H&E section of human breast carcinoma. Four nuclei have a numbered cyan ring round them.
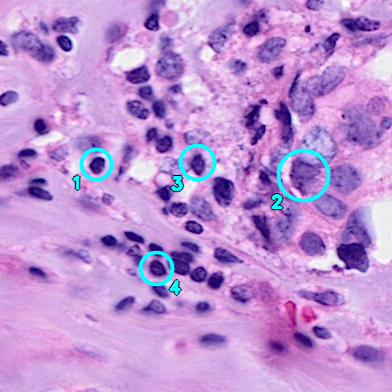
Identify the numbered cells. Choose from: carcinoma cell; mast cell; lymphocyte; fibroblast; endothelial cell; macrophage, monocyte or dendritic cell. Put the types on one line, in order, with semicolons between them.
lymphocyte; carcinoma cell; lymphocyte; lymphocyte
